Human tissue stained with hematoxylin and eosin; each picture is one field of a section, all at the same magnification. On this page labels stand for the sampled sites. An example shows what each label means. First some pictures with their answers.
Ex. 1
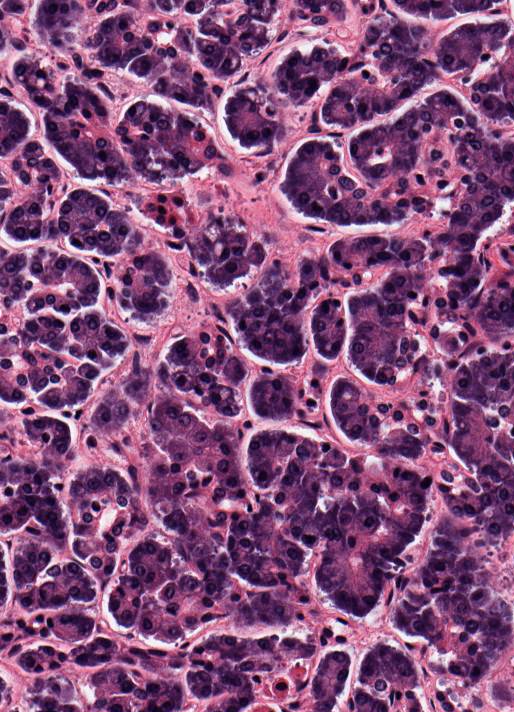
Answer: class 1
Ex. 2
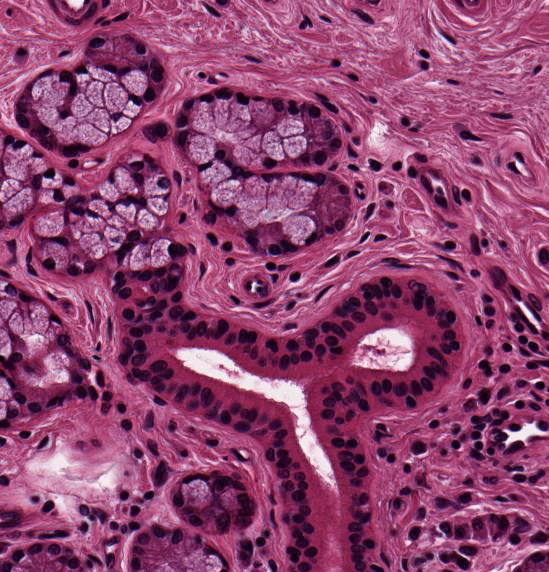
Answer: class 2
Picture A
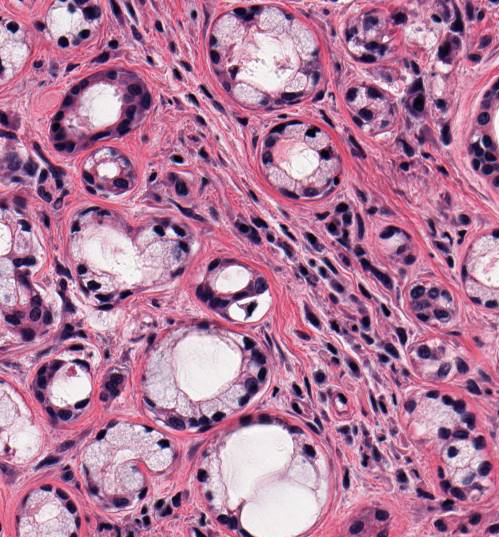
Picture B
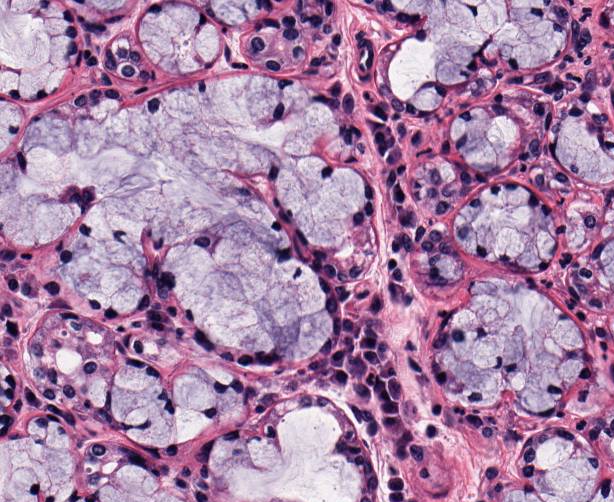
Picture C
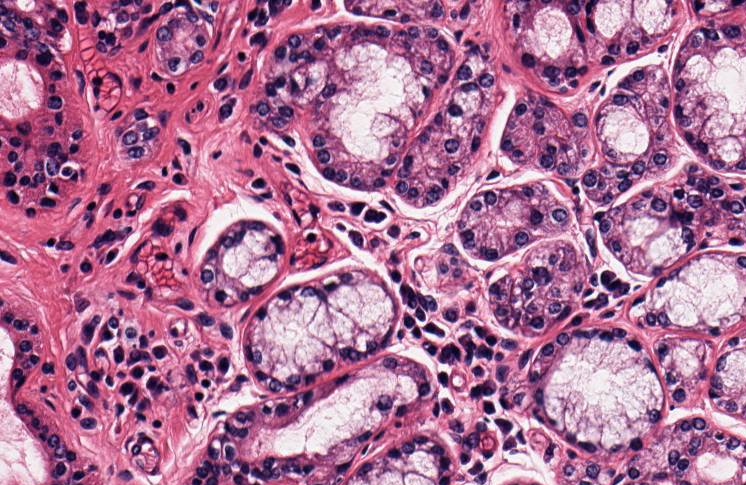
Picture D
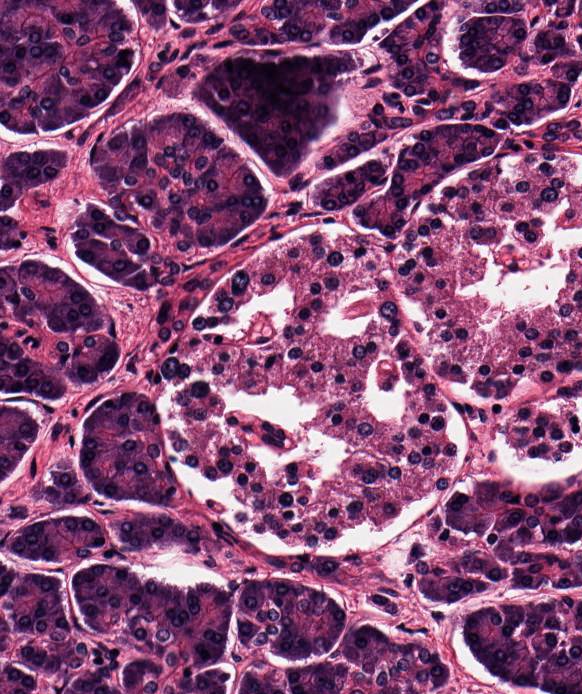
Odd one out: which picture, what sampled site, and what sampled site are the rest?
Different: D, class 1. Others: class 2.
